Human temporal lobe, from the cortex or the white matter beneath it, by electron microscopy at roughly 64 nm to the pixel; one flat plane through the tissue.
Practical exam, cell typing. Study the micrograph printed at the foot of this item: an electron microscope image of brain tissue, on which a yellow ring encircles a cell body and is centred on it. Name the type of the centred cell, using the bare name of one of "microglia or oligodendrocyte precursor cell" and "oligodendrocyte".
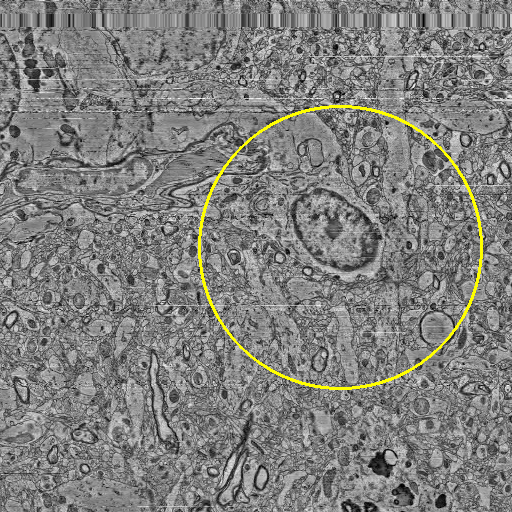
microglia or oligodendrocyte precursor cell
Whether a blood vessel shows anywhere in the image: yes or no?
Yes, the picture includes a blood vessel.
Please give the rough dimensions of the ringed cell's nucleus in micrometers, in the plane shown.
The ringed cell's nucleus measures approximately 6 by 4 micrometres in this plane.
